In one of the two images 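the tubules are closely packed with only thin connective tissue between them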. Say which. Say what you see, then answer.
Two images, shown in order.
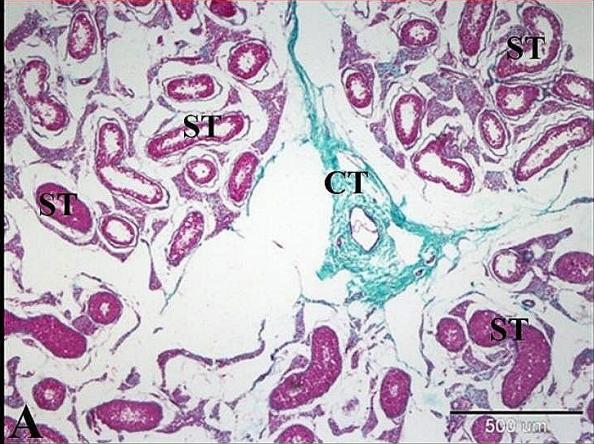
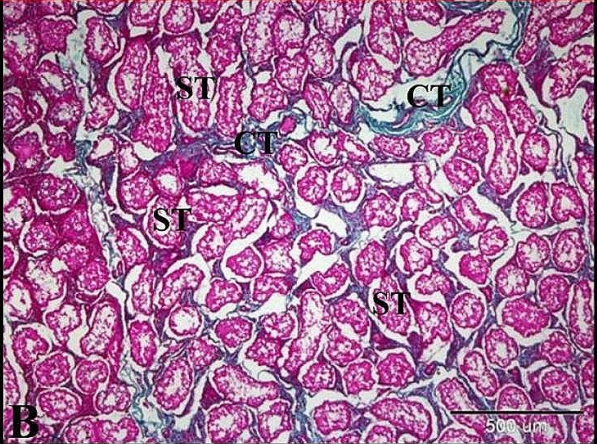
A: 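Second image: tubules fill nearly the whole field, separated by narrow strands. First image: fewer tubules lie in groups separated by wide pale spaces and a broad green band of connective tissue.
Conclusion: the second image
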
